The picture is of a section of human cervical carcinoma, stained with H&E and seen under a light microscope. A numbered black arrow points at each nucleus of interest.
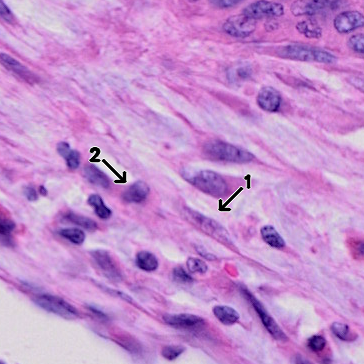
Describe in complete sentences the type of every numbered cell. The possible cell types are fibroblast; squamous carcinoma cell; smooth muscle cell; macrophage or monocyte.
Cell 1 is a fibroblast. Cell 2 is a macrophage or monocyte.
